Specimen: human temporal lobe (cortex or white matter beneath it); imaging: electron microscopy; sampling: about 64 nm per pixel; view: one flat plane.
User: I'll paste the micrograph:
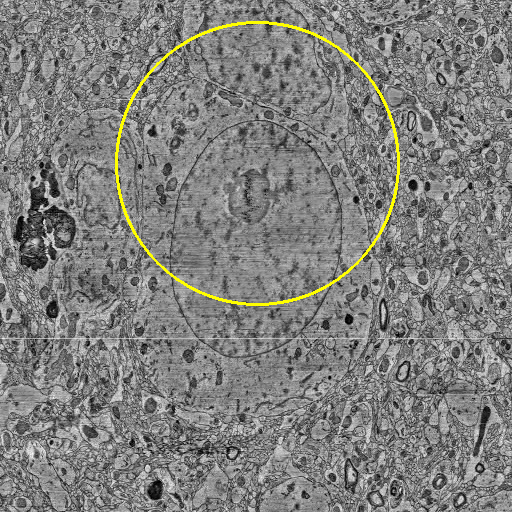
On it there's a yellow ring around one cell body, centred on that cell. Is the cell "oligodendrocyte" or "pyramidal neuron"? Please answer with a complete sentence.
The cell ringed in yellow is a pyramidal neuron.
